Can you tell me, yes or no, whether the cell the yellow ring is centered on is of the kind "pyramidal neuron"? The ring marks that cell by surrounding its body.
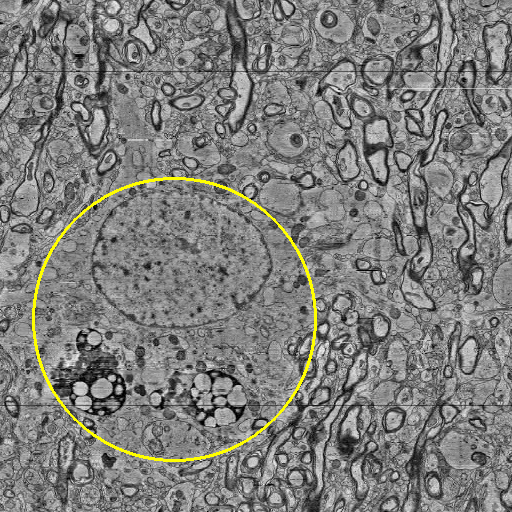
no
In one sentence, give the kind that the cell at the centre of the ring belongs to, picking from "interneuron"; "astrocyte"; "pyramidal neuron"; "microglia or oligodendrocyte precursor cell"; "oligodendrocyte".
Sitting at the ring centre is an astrocyte.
